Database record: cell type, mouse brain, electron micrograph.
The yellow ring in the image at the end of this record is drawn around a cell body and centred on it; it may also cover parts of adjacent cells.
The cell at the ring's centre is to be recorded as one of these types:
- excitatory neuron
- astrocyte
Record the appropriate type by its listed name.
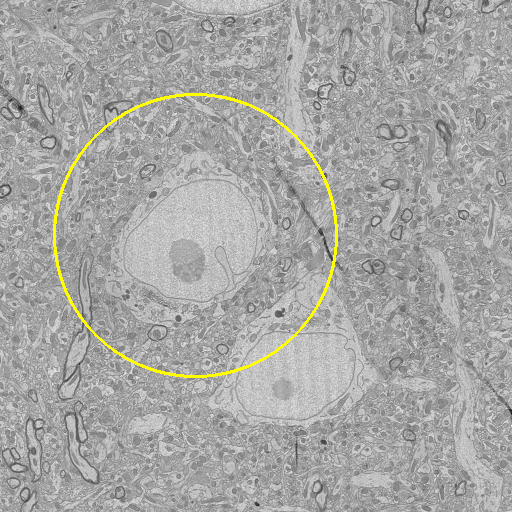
excitatory neuron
